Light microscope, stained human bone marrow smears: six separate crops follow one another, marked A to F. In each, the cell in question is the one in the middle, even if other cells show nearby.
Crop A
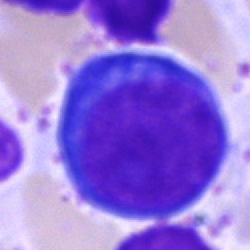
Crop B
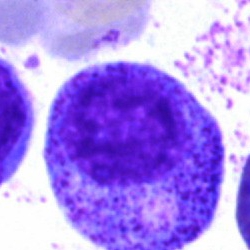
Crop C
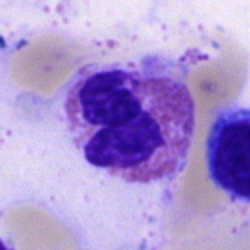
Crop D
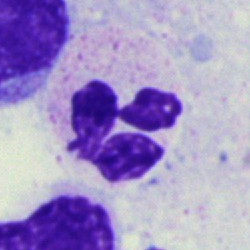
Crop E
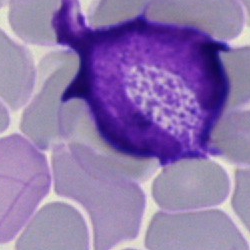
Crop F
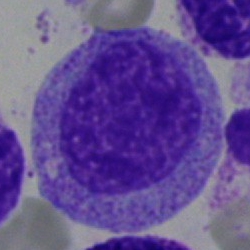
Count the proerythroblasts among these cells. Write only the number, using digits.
1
